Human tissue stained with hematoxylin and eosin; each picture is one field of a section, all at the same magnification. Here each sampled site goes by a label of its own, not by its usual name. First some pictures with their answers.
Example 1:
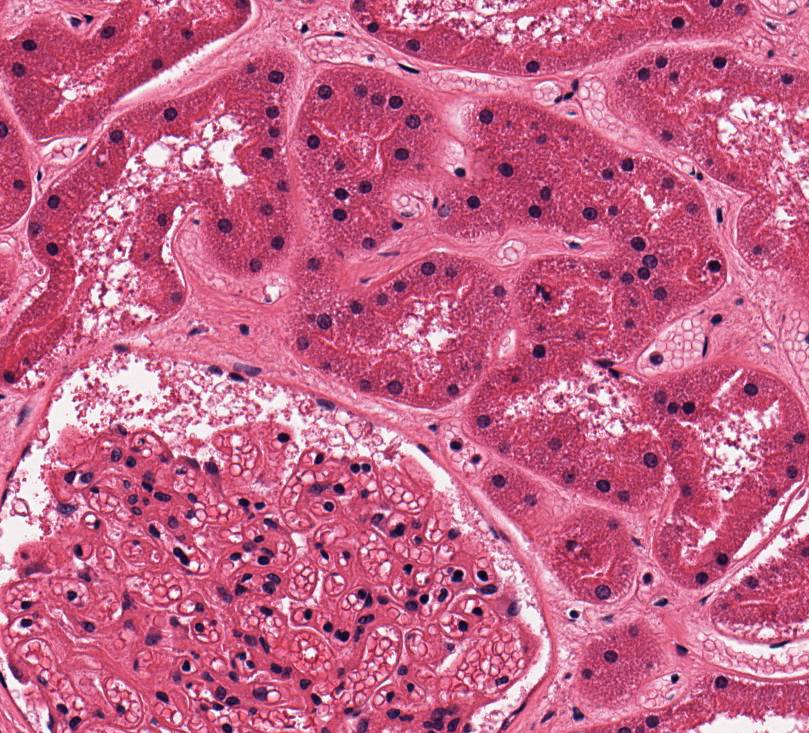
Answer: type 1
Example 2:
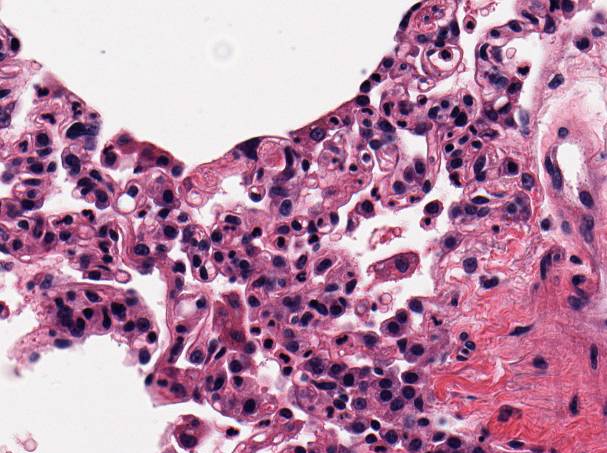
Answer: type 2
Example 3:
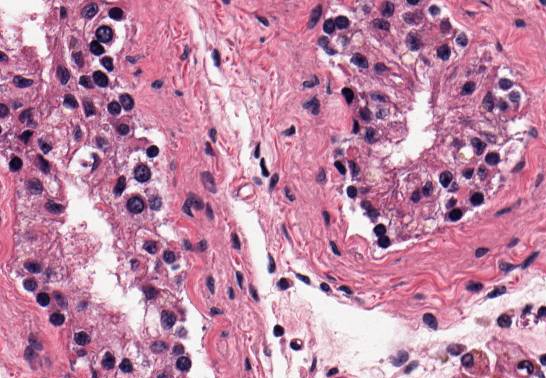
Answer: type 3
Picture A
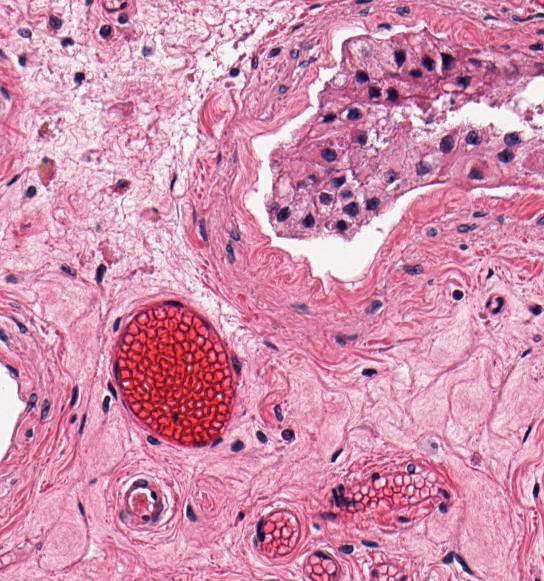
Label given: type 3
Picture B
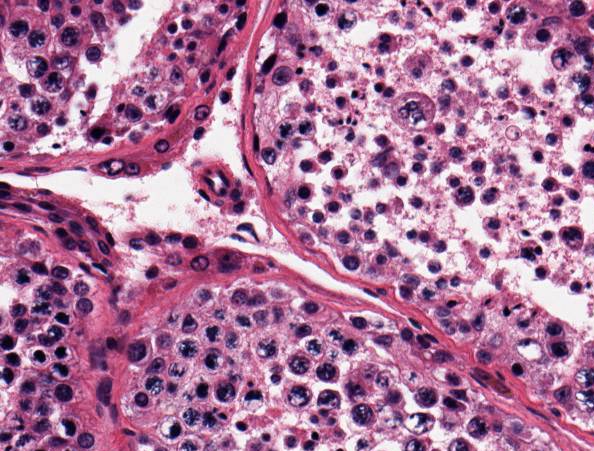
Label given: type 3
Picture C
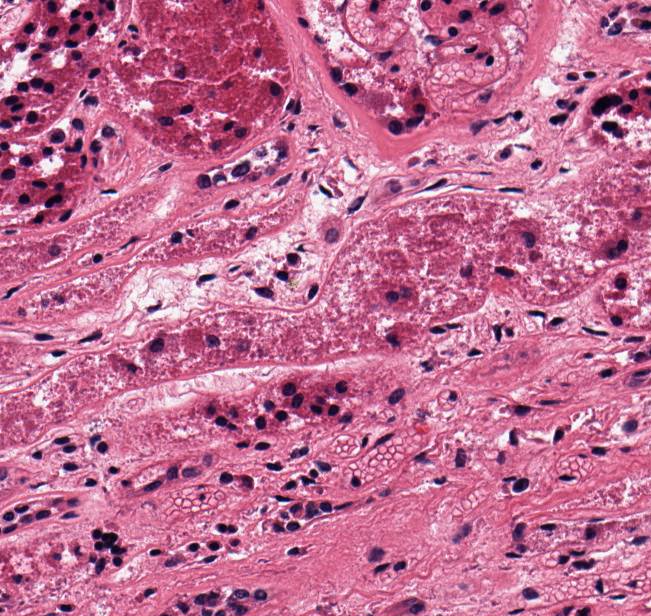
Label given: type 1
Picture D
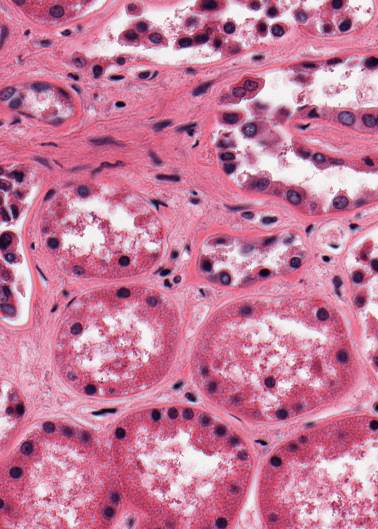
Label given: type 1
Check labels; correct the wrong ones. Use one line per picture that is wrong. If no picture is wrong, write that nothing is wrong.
No label is wrong.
